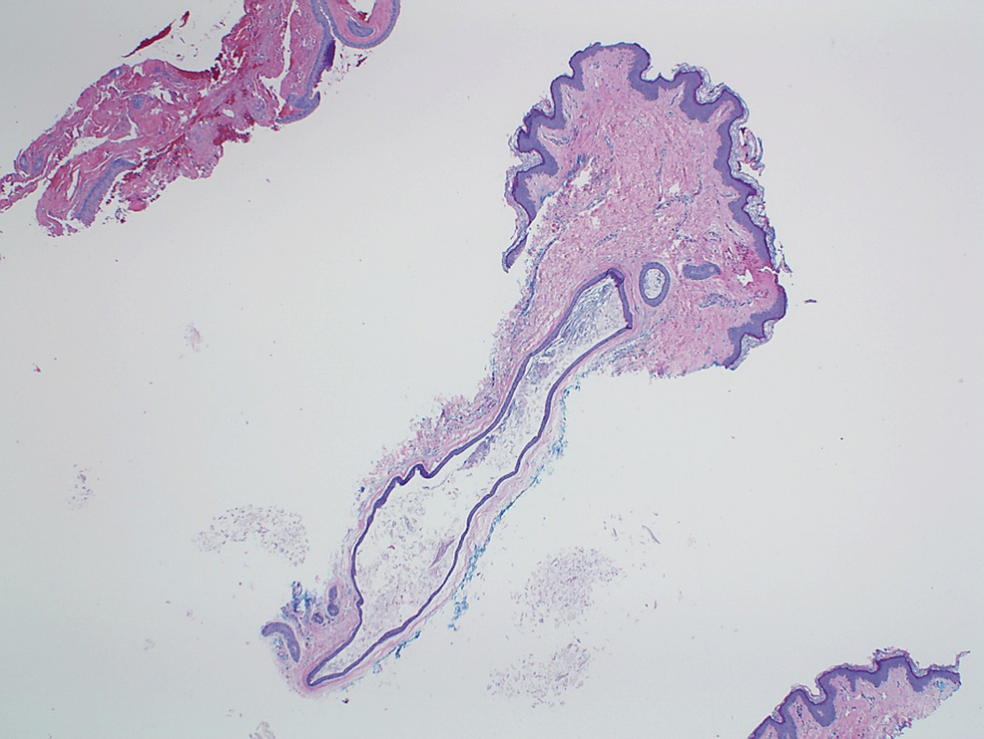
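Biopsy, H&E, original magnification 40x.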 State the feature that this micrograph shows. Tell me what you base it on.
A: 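An elongated, narrow cavity extends down from beneath the skin surface into the underlying tissue. The cavity is bounded by a thin, continuous purple epithelial lining. That points to this answer: cyst.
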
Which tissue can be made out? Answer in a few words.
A: stratified squamous epithelium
